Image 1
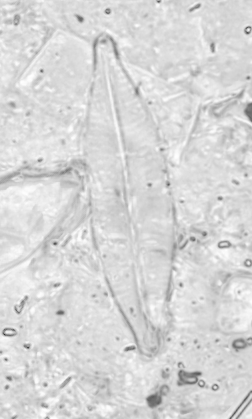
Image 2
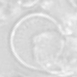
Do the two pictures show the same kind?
No: Navicula, then Stephanodiscus.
